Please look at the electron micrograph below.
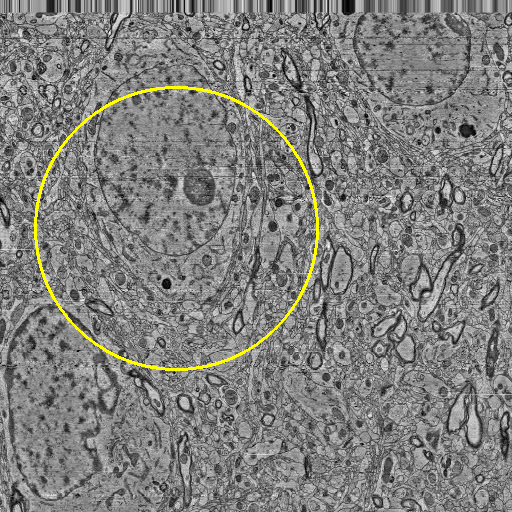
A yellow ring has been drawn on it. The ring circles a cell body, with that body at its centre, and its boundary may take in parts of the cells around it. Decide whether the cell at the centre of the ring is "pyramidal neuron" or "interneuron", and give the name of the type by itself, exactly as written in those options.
pyramidal neuron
